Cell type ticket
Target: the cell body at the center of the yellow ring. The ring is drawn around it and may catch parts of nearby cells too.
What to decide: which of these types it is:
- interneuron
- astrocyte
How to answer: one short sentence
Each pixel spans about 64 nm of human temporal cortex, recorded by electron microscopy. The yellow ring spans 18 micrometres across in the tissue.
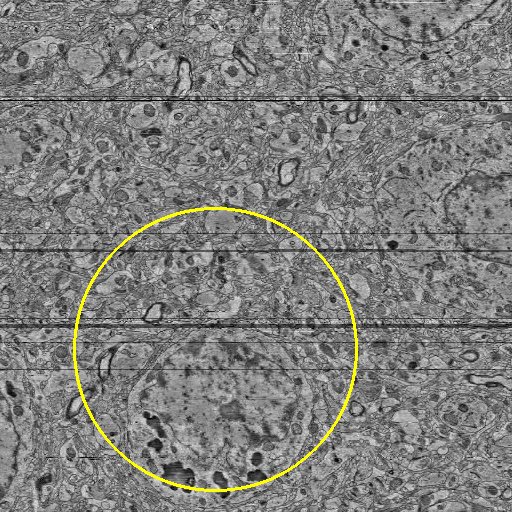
The cell at the center of the ring is an interneuron.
